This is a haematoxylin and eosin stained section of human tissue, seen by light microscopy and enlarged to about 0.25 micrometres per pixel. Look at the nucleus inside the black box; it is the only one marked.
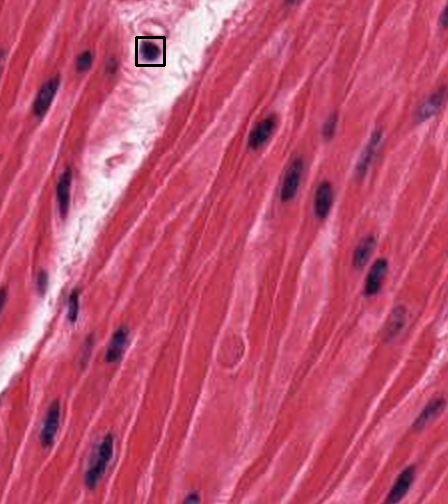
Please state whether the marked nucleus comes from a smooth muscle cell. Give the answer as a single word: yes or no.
no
